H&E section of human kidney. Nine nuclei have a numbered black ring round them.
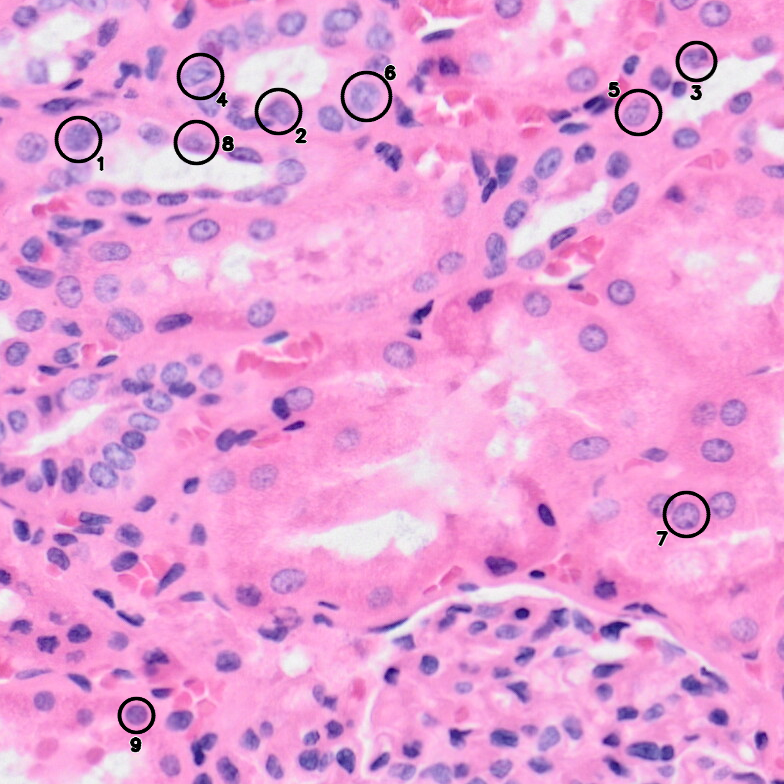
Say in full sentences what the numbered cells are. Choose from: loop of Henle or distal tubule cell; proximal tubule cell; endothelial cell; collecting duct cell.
Cell 1 is a loop of Henle or distal tubule cell, cell 2 is a collecting duct cell, cell 3 is a loop of Henle or distal tubule cell, cell 4 is a collecting duct cell, cell 5 is a loop of Henle or distal tubule cell, cell 6 is a collecting duct cell, cell 7 is a proximal tubule cell, cell 8 is a loop of Henle or distal tubule cell and cell 9 is a proximal tubule cell.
